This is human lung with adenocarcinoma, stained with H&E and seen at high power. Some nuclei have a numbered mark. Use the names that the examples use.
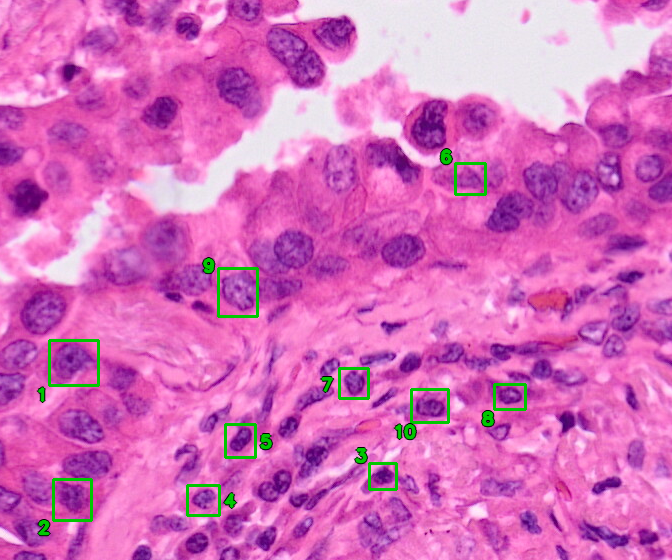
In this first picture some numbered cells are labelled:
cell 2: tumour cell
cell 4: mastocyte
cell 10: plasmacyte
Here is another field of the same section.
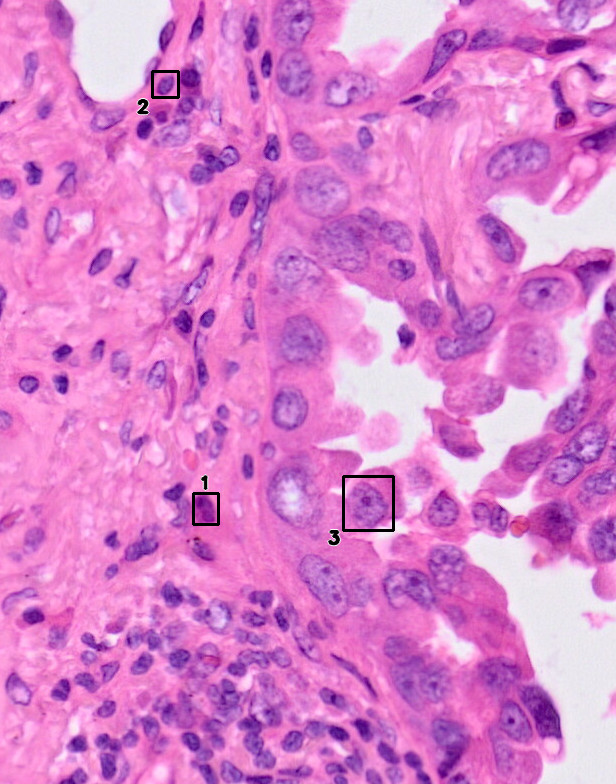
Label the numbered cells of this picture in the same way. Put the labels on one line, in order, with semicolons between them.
plasmacyte; mastocyte; tumour cell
